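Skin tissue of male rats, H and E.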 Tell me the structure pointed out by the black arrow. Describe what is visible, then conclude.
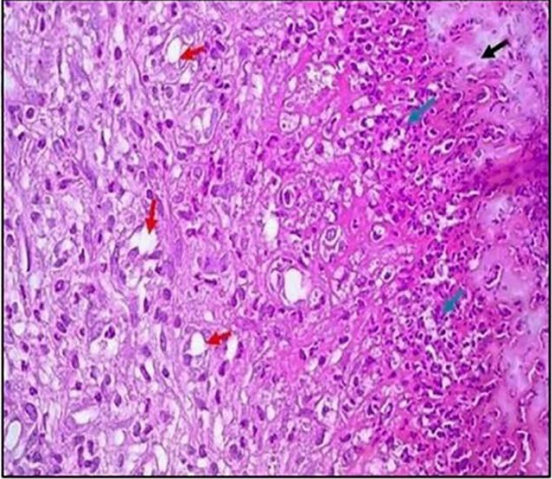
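Scab. Pale pink, amorphous material at the upper right edge. No organised cells within it. Lies on top of the dense cellular layer.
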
